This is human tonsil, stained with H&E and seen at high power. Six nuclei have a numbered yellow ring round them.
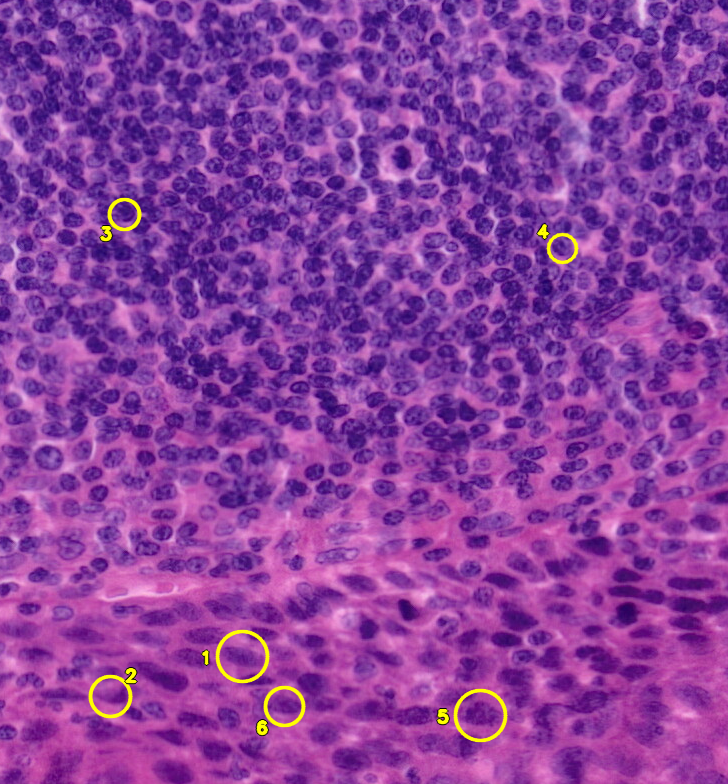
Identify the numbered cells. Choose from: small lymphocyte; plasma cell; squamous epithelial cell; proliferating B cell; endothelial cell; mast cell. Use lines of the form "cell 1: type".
cell 1: squamous epithelial cell
cell 2: squamous epithelial cell
cell 3: small lymphocyte
cell 4: small lymphocyte
cell 5: squamous epithelial cell
cell 6: squamous epithelial cell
